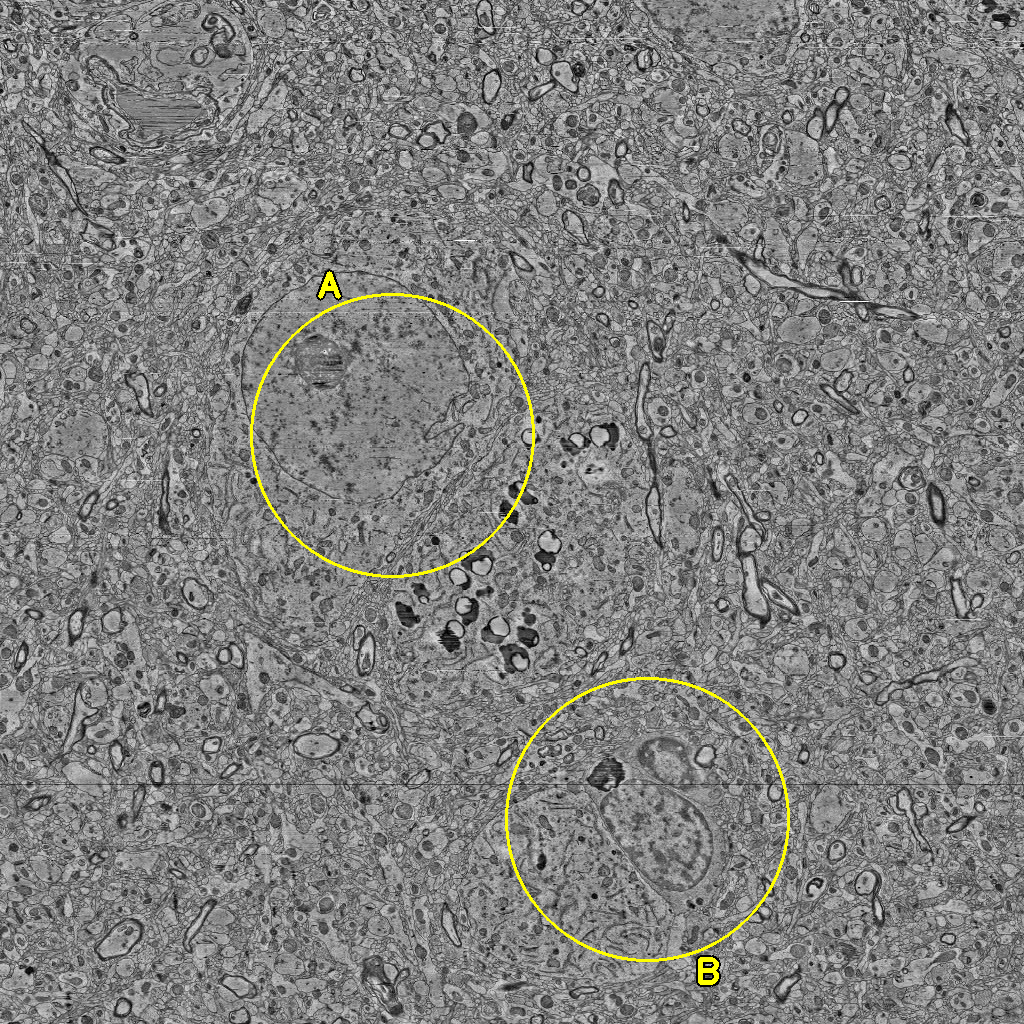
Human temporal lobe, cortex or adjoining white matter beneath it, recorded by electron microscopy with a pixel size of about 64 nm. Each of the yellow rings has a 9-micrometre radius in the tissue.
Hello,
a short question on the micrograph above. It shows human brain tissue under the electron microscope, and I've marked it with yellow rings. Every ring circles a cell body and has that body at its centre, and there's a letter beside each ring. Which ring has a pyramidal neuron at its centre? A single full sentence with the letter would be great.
The cell you asked about sits at the centre of ring A.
